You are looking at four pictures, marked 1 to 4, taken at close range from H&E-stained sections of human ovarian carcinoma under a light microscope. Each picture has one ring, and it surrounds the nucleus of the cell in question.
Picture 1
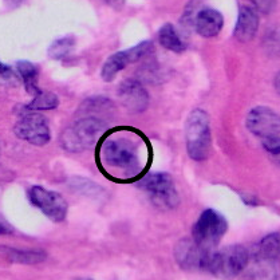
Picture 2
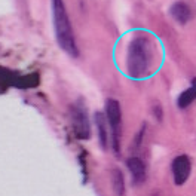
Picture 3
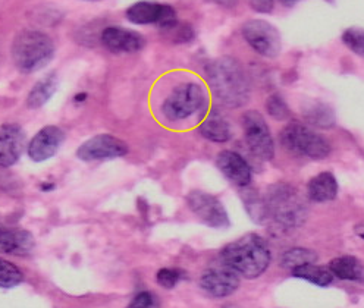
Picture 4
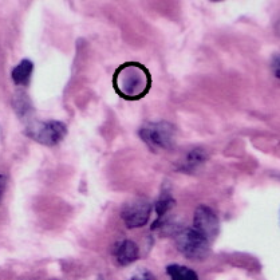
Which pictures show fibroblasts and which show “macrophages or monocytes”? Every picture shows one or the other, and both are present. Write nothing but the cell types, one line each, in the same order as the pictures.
macrophage or monocyte
fibroblast
macrophage or monocyte
fibroblast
